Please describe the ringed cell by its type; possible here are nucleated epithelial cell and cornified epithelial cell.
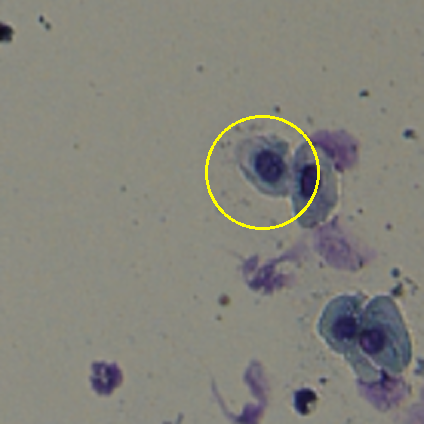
The yellow ring marks a nucleated epithelial cell.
